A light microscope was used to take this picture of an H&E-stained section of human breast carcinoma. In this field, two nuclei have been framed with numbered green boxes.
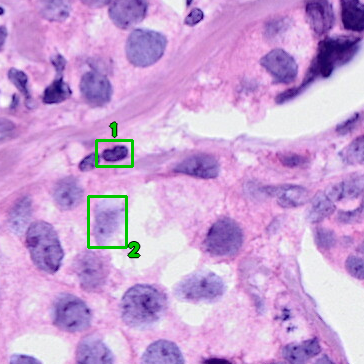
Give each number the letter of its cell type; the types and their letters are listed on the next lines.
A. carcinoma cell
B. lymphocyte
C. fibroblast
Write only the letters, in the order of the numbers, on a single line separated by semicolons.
B; A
